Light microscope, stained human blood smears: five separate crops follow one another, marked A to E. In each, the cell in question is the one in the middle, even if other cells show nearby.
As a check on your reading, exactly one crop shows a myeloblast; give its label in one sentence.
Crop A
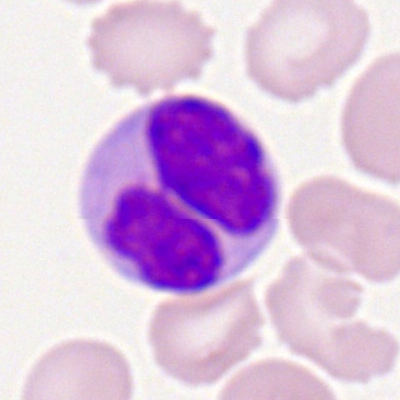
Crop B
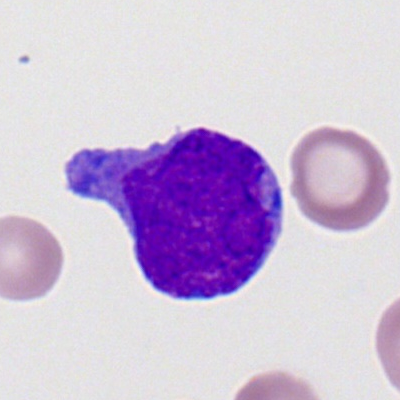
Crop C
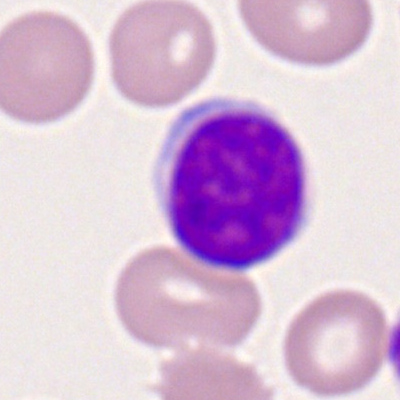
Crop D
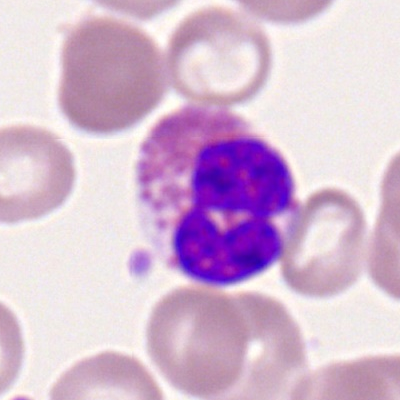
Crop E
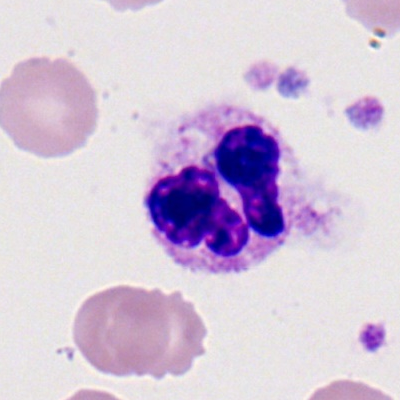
Crop B represents a myeloblast, while the other crops do not.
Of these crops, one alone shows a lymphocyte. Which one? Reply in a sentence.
Crop C is the crop whose central cell is a lymphocyte.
